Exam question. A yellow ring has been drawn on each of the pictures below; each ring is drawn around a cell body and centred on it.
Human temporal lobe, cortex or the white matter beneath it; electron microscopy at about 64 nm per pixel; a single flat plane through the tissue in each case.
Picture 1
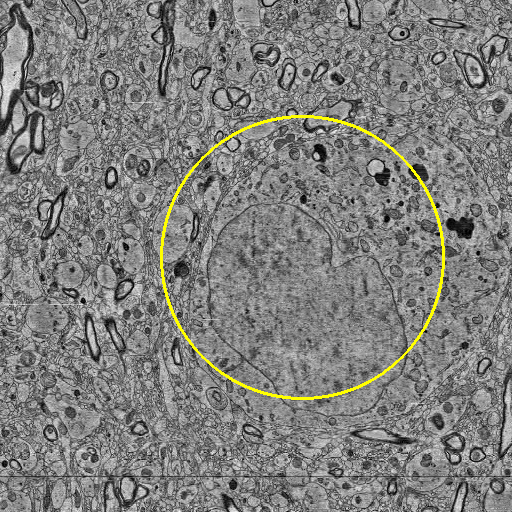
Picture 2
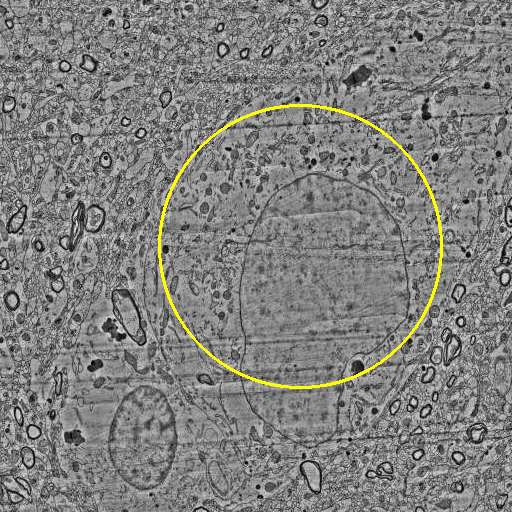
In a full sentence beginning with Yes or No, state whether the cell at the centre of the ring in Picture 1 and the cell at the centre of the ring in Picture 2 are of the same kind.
Yes, the two cells are of the same kind.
